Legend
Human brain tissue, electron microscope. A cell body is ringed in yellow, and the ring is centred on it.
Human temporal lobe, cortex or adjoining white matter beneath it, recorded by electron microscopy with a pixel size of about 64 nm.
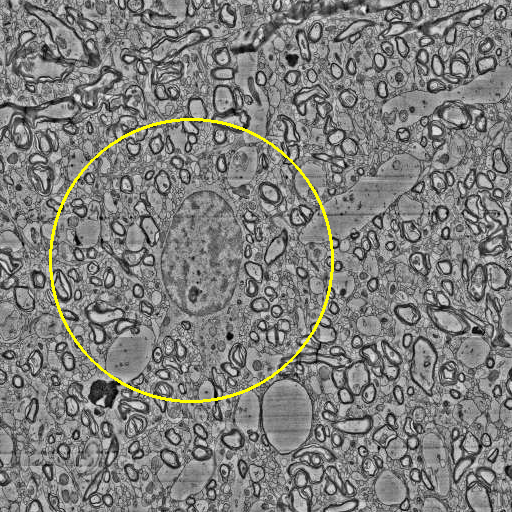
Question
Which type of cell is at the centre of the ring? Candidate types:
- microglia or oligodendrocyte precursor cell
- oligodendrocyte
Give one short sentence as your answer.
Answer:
The yellow ring is centred here on an oligodendrocyte.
